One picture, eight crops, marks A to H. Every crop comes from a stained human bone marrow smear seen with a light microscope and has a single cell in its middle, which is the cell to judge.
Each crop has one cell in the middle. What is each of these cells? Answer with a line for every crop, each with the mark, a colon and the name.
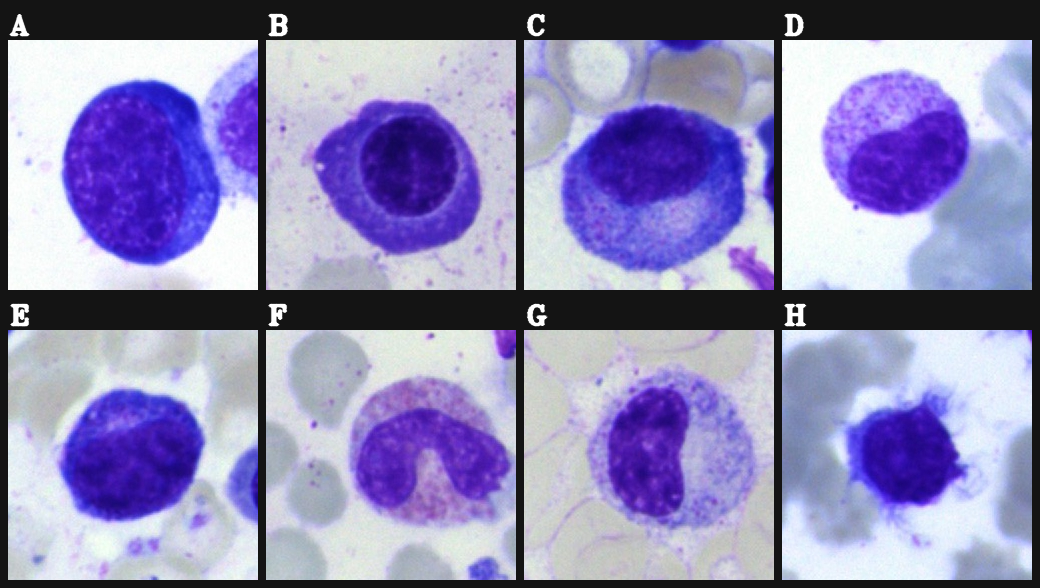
A: proerythroblast
B: plasma cell
C: promyelocyte
D: metamyelocyte
E: promyelocyte
F: eosinophil
G: metamyelocyte
H: hairy cell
